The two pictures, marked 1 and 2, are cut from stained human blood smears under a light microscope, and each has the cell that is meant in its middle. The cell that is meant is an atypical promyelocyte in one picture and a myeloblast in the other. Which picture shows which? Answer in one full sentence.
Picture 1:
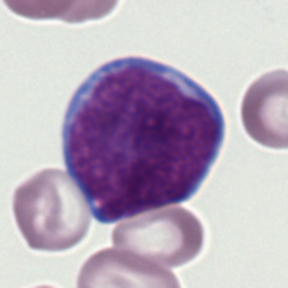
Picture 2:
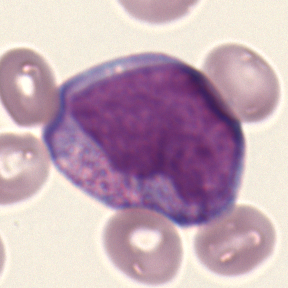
Picture 1 is of a myeloblast, and picture 2 is of an atypical promyelocyte.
